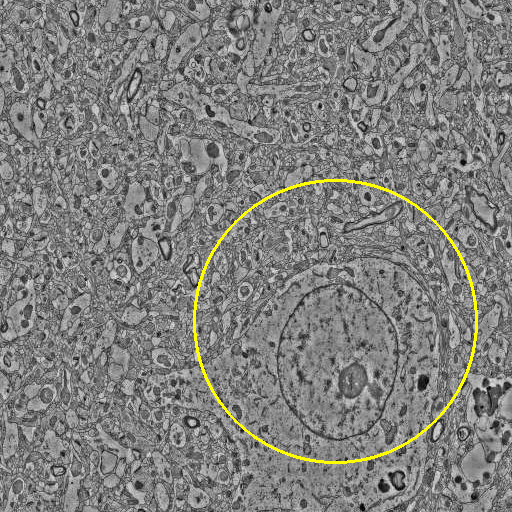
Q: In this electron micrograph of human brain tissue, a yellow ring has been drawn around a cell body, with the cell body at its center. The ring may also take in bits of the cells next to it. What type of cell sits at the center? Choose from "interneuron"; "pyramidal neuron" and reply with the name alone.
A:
pyramidal neuron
